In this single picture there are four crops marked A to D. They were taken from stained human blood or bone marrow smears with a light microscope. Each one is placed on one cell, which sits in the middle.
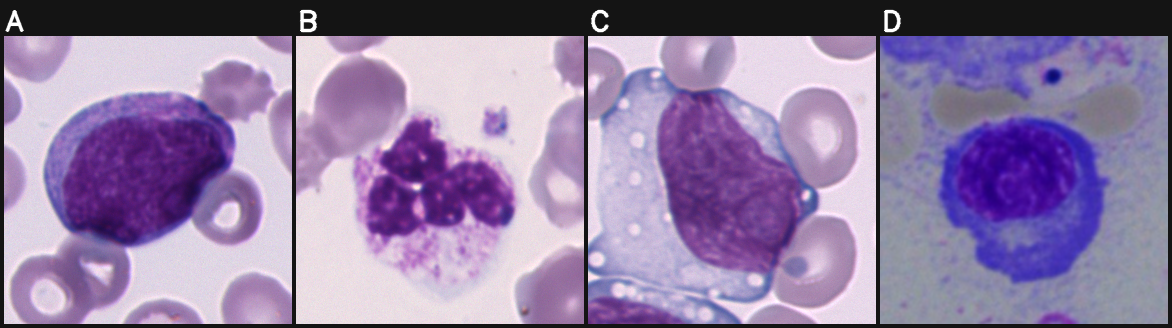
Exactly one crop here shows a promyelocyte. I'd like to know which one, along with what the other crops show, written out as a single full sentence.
Crop A is identified as a promyelocyte, whereas crop B is a neutrophil, crop C is a blast and crop D is a plasma cell.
